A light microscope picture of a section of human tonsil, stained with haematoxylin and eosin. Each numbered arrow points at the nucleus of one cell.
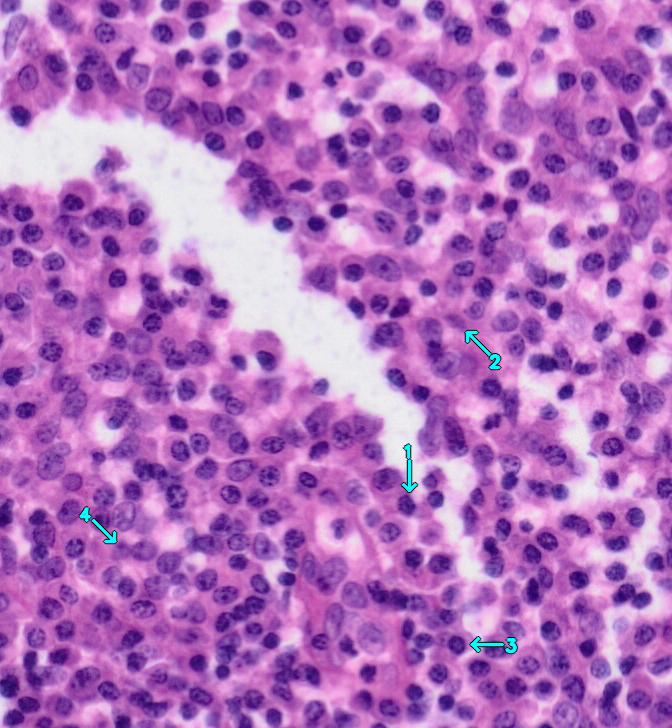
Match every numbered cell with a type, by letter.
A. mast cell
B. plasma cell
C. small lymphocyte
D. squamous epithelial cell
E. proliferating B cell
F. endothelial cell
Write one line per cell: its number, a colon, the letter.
1: B
2: D
3: B
4: B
